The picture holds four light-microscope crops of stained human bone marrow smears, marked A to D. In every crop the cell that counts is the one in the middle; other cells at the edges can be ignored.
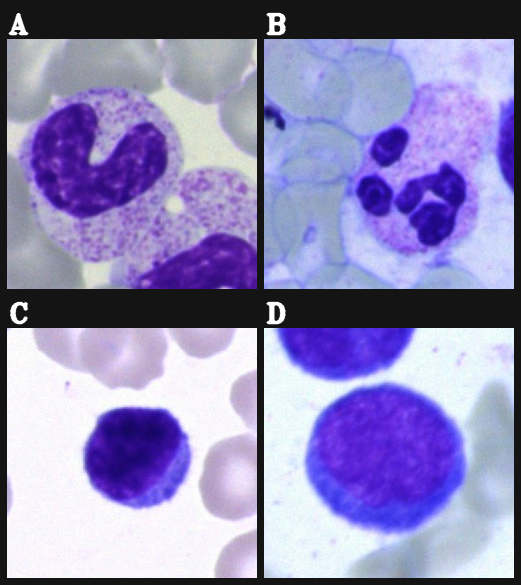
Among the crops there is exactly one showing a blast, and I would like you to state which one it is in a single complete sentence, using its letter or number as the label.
The cell at the center of crop D is the one that is a blast.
